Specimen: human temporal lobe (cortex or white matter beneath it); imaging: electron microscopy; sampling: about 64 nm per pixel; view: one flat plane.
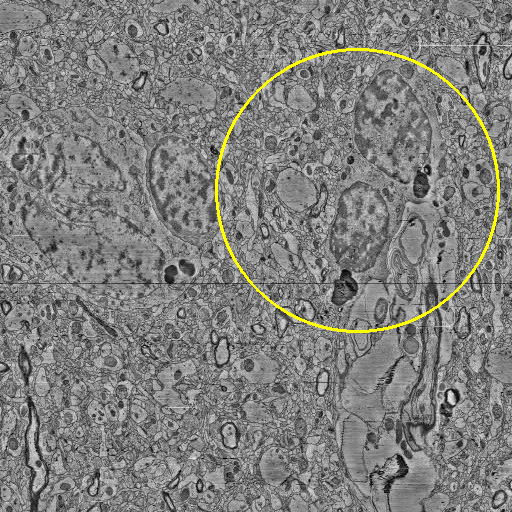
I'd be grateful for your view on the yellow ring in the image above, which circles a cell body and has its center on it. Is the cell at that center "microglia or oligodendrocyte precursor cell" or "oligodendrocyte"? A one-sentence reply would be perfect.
The cell at the center of the yellow ring is an oligodendrocyte.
